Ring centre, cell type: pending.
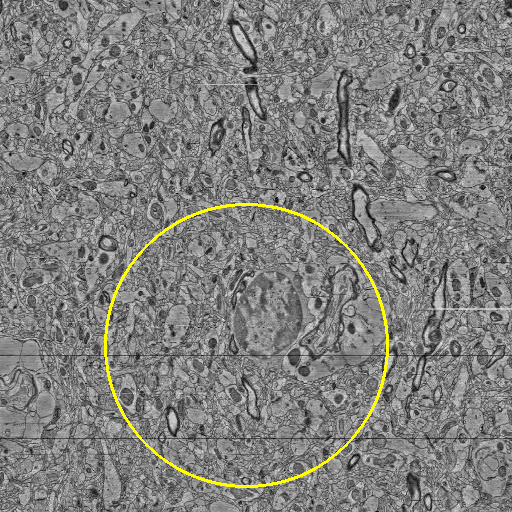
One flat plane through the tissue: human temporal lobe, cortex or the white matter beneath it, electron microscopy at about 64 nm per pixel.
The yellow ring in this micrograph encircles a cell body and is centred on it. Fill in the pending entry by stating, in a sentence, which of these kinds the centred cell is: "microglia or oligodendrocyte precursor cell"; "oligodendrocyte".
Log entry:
The centred cell is recorded as an oligodendrocyte.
